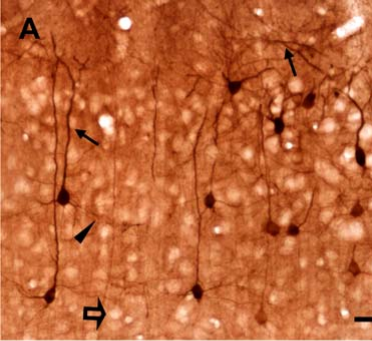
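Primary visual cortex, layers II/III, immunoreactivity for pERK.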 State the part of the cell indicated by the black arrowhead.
basal dendrites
